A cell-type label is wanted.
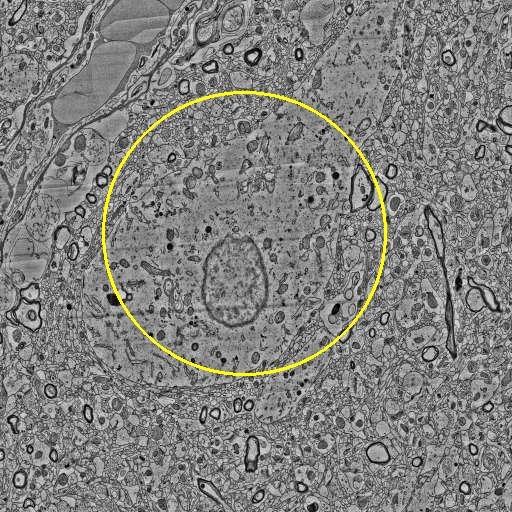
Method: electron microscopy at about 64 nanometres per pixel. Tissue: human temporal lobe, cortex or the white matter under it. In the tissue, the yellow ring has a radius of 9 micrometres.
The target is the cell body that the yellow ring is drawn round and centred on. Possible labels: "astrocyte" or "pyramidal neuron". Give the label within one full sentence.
Of the labels offered, the cell in the middle of the yellow ring is a pyramidal neuron.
